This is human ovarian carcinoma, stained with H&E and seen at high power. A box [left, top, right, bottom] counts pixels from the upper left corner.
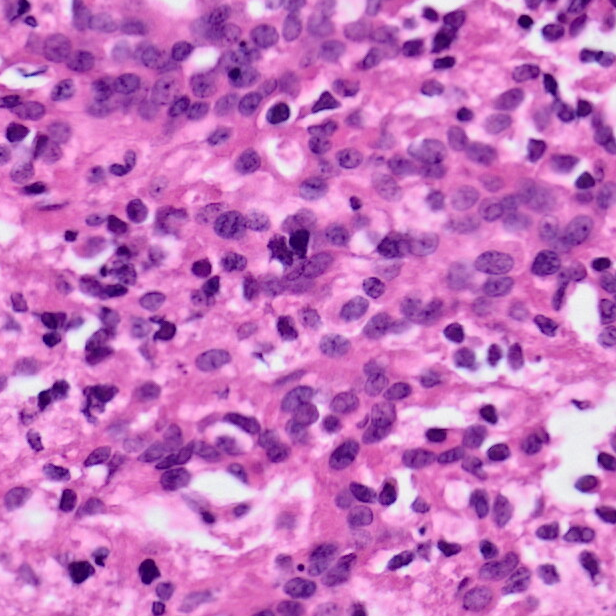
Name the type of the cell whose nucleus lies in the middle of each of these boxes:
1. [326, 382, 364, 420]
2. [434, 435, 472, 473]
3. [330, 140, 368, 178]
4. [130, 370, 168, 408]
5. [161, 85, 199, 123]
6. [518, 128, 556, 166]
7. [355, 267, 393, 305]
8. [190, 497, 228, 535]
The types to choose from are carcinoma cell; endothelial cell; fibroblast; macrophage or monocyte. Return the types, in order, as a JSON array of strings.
["carcinoma cell", "carcinoma cell", "macrophage or monocyte", "carcinoma cell", "carcinoma cell", "carcinoma cell", "macrophage or monocyte", "fibroblast"]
